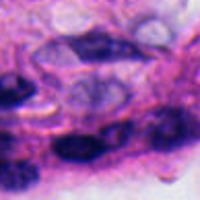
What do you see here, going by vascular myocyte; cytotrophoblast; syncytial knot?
I see a cytotrophoblast.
